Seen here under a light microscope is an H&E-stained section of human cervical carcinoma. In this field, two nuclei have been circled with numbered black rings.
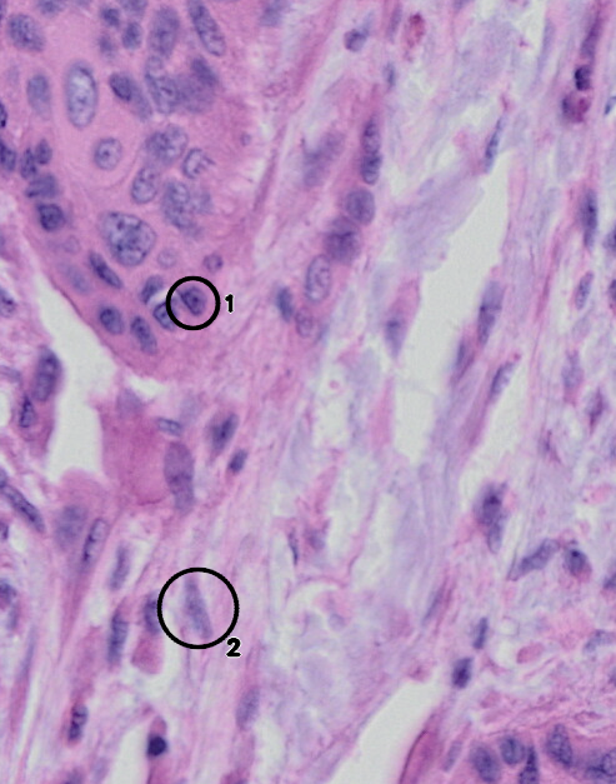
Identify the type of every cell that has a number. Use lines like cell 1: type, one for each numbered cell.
cell 1: squamous carcinoma cell
cell 2: fibroblast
